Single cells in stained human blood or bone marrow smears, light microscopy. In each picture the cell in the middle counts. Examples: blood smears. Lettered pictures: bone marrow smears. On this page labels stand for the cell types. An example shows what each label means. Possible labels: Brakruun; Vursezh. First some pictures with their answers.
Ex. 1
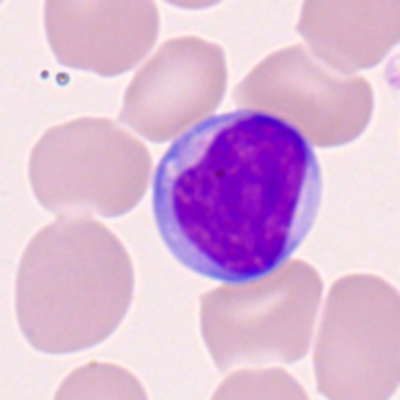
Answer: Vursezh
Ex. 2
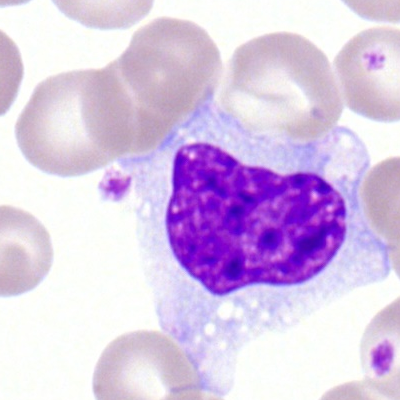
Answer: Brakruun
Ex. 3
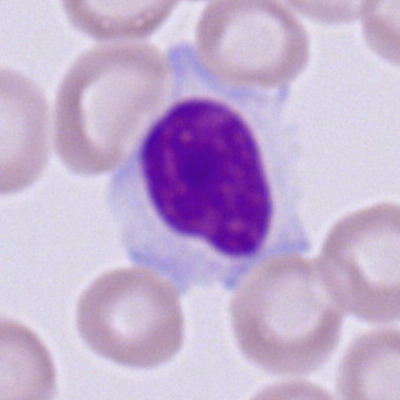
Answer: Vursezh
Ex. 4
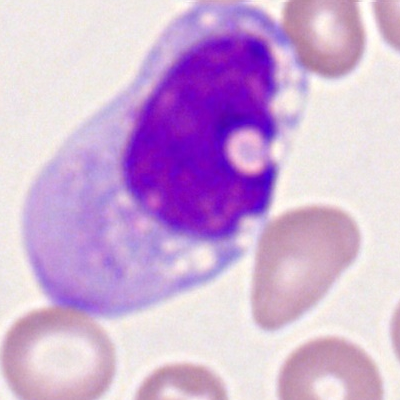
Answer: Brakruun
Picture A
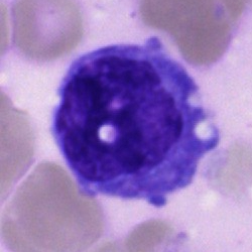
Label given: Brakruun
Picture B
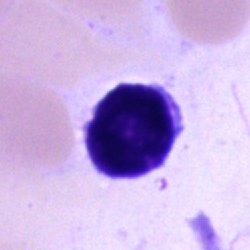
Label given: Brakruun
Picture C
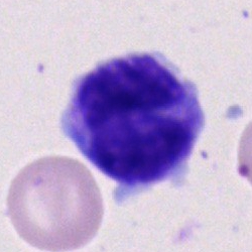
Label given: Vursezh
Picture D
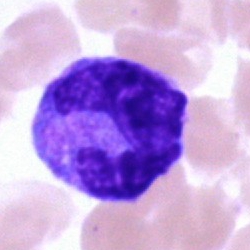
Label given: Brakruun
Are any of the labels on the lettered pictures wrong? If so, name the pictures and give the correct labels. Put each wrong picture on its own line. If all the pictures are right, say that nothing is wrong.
B should be Vursezh, not Brakruun
C should be Brakruun, not Vursezh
